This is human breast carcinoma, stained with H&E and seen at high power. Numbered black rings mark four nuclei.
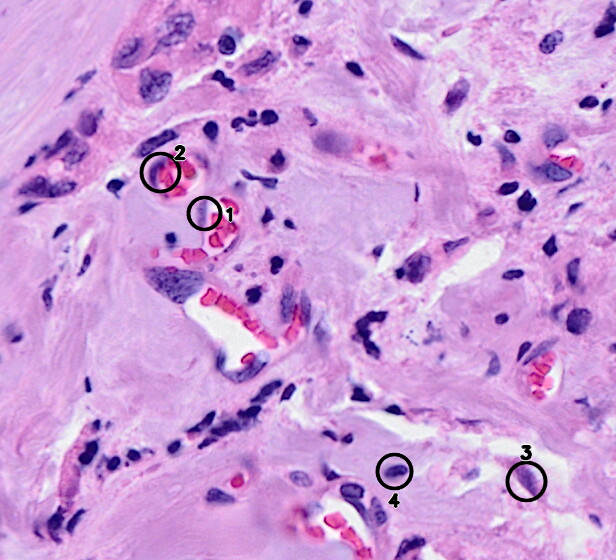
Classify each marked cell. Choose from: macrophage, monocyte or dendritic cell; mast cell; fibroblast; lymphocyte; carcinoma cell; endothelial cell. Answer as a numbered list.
1. endothelial cell
2. endothelial cell
3. fibroblast
4. lymphocyte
